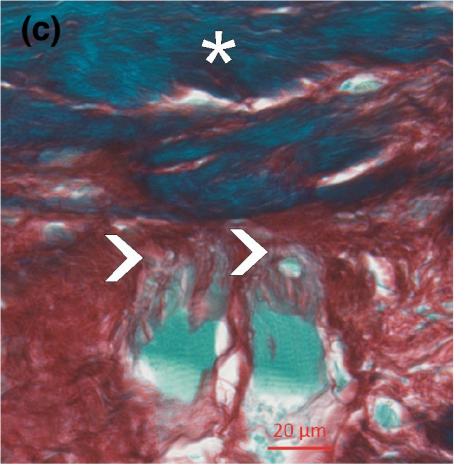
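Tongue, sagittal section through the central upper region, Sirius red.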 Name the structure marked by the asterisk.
aponeurosis linguae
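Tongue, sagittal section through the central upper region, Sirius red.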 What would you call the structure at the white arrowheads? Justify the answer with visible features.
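Two green muscle fibres end bluntly just below the dark green band. The arrowheads mark the fibre ends with thin red fibres between them and the band. On this evidence: insertion of the striated muscle fibres.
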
